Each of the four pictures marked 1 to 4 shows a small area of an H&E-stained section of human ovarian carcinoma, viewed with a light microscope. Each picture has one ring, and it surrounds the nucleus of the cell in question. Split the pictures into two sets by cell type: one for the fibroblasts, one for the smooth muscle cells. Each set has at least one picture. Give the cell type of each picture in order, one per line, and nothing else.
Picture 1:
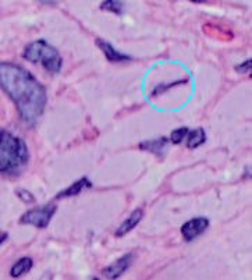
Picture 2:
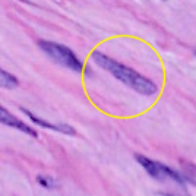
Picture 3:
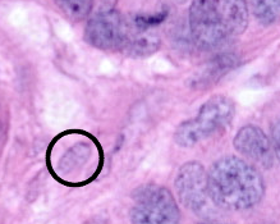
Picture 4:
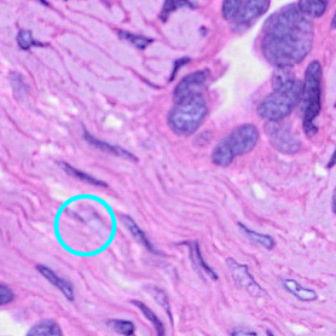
fibroblast
smooth muscle cell
fibroblast
fibroblast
